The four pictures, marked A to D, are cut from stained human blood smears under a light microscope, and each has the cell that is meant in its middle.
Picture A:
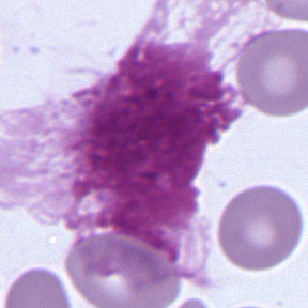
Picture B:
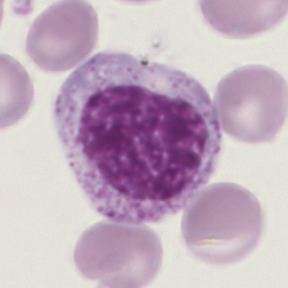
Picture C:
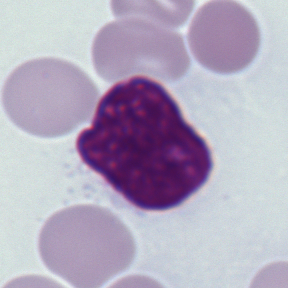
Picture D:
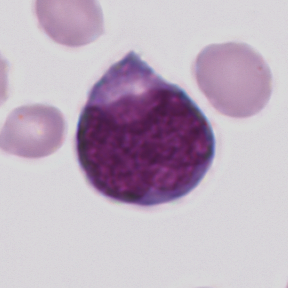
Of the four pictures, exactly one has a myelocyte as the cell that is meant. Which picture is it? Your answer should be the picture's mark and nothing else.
B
